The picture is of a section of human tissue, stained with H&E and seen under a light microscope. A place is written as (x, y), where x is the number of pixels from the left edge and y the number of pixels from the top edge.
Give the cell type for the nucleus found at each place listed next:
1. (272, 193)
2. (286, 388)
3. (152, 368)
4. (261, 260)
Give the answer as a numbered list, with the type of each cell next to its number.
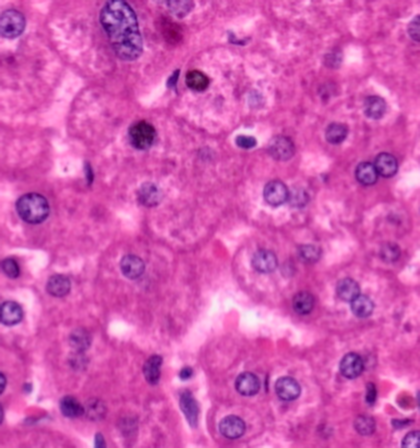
1. hepatocyte
2. hepatocyte
3. fibroblast or stellate cell
4. hepatocyte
